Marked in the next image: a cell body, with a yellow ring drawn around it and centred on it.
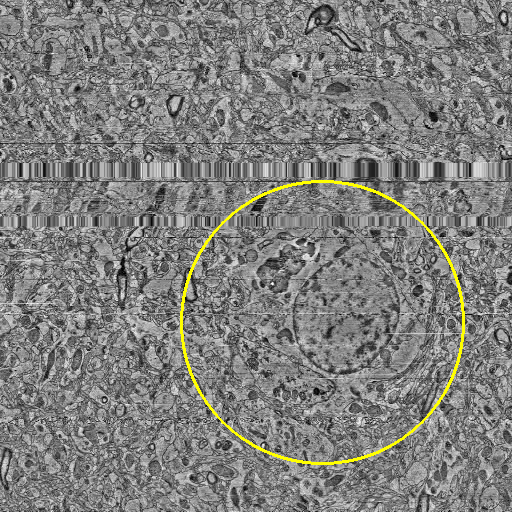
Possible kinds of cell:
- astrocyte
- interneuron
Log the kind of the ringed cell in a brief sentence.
The ringed cell body is that of an astrocyte.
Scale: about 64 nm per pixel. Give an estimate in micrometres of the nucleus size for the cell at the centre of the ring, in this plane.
Roughly 8 micrometres by 7 micrometres, in this plane.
